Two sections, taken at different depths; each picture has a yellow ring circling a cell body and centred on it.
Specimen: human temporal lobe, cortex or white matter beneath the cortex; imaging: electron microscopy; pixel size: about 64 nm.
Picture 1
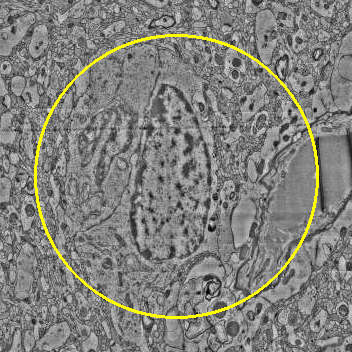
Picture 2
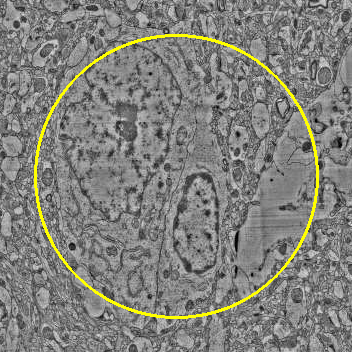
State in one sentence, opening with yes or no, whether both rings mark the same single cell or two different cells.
Yes, the cell marked in each ring is one and the same.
